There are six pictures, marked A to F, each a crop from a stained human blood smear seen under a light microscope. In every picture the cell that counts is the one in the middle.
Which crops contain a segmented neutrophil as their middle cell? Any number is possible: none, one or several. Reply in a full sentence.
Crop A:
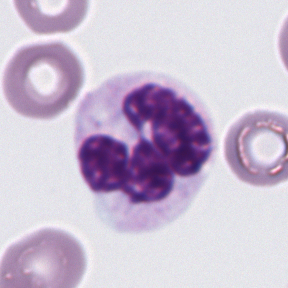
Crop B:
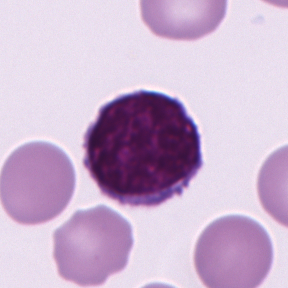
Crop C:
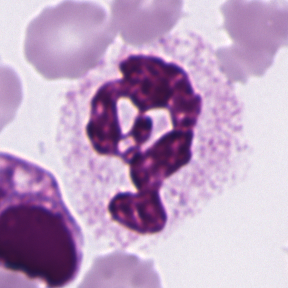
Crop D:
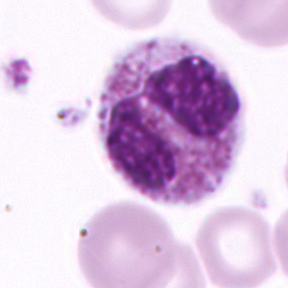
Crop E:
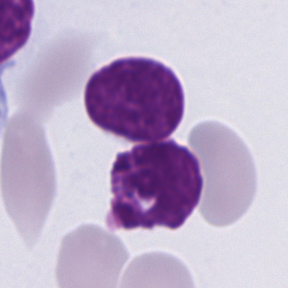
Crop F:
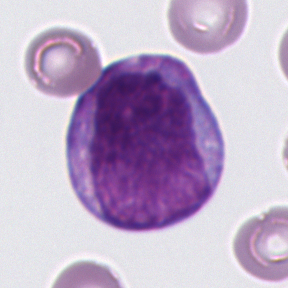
The cells at the centre of the crops labelled A and C are segmented neutrophils.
